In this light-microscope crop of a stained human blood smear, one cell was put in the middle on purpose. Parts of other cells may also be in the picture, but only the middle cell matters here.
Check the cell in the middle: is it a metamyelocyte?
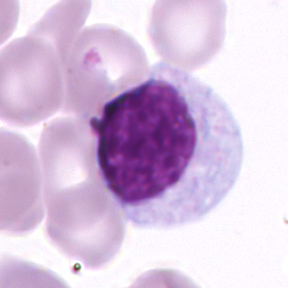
yes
